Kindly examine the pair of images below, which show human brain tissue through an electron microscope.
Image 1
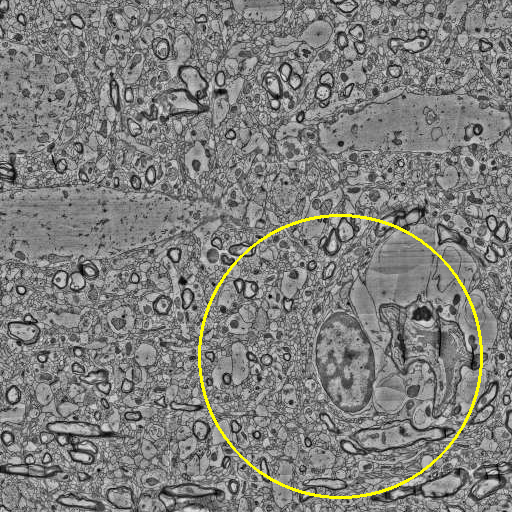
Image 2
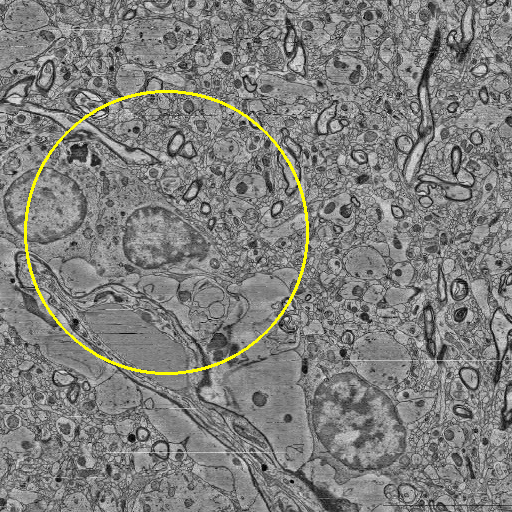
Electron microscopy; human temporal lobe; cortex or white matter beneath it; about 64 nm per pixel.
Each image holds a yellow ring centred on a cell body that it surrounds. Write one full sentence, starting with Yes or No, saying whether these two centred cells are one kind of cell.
No, the cells at the centres of the yellow rings belong to two kinds of cell.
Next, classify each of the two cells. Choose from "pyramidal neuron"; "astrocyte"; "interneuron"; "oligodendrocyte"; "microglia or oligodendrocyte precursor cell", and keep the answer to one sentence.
In the first picture it is a microglial cell or oligodendrocyte precursor cell; in the second it is an oligodendrocyte.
